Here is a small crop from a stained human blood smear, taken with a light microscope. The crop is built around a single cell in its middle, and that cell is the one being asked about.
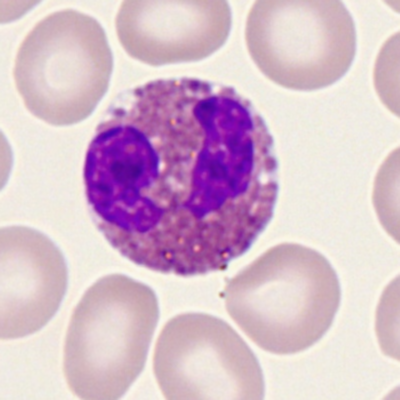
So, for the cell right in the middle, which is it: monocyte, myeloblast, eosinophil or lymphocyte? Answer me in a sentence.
The cell of interest, located centrally, is an eosinophil.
